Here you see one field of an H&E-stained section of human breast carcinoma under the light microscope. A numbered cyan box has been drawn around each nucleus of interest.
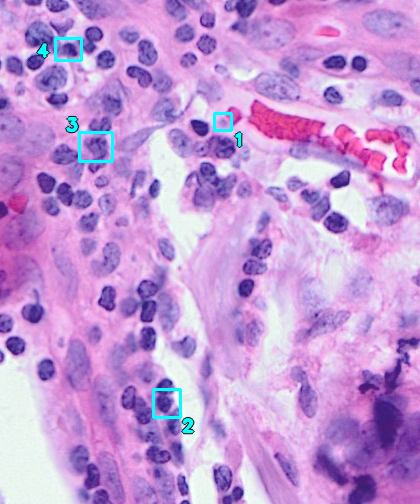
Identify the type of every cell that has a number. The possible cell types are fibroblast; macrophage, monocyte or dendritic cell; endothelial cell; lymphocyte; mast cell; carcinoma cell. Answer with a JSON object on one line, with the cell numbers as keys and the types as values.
{"1": "endothelial cell", "2": "lymphocyte", "3": "lymphocyte", "4": "lymphocyte"}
